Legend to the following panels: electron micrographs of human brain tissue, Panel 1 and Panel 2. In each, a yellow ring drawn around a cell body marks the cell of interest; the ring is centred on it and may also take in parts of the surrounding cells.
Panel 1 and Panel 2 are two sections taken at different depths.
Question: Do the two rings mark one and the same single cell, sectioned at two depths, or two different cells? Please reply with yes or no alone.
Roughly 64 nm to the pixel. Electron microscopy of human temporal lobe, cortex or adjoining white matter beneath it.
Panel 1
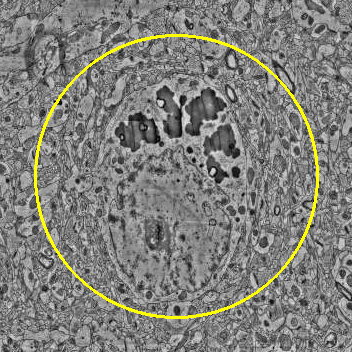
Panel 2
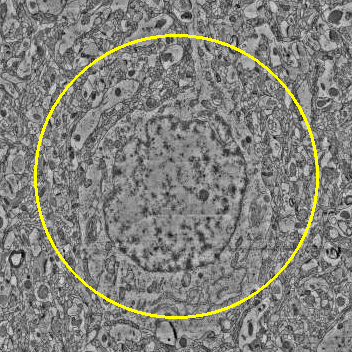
no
